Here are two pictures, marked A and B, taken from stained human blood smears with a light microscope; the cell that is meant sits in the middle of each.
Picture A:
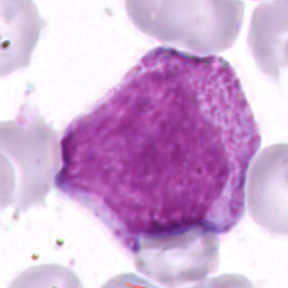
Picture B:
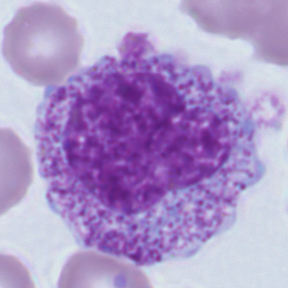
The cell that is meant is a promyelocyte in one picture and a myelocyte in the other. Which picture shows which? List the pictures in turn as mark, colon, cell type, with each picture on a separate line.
A: myelocyte
B: promyelocyte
